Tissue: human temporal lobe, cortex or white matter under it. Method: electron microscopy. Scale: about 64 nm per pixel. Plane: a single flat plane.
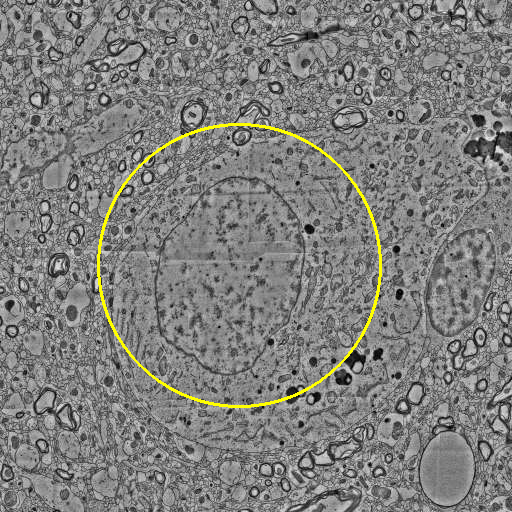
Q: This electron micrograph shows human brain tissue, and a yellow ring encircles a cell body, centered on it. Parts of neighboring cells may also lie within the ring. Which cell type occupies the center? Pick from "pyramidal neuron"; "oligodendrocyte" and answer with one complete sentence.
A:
What sits at the ring's center in this micrograph is a pyramidal neuron, among those choices.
